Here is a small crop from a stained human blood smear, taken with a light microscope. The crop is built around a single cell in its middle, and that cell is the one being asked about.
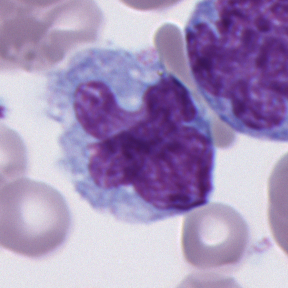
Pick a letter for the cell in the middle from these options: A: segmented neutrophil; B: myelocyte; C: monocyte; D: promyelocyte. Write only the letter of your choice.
C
